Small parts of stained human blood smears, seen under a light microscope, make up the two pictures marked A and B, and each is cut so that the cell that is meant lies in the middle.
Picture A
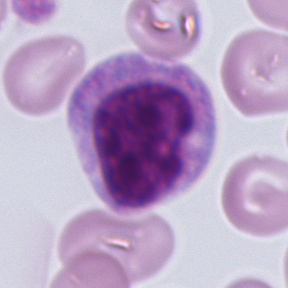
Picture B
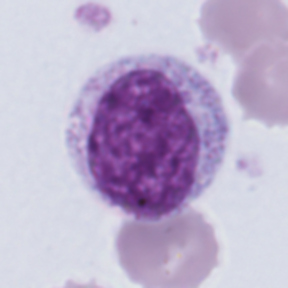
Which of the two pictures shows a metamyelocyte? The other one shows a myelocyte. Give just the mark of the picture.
A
